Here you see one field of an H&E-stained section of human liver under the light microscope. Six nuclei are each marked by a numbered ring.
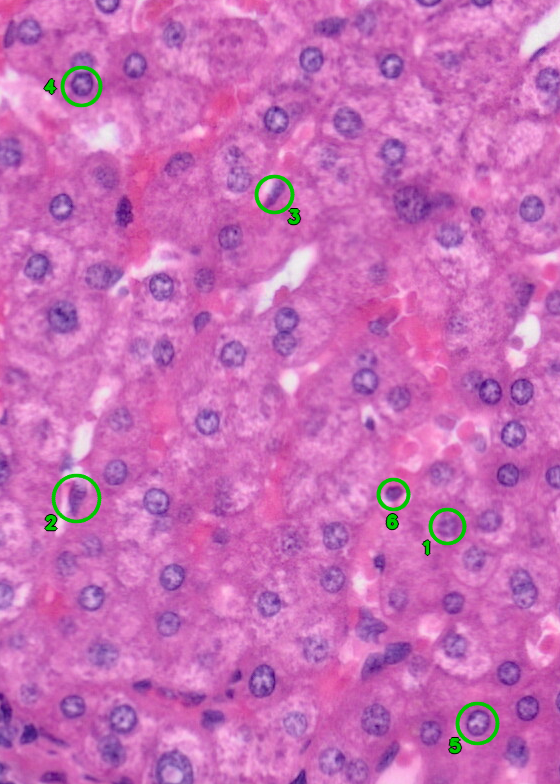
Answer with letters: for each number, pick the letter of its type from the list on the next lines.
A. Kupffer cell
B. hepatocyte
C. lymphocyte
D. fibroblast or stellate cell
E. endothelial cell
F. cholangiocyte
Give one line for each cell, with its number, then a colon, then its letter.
1: B
2: A
3: E
4: B
5: B
6: C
